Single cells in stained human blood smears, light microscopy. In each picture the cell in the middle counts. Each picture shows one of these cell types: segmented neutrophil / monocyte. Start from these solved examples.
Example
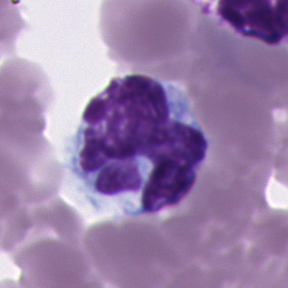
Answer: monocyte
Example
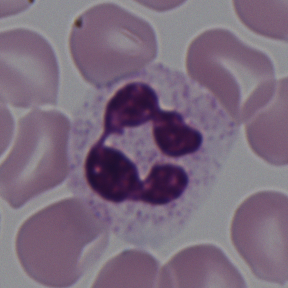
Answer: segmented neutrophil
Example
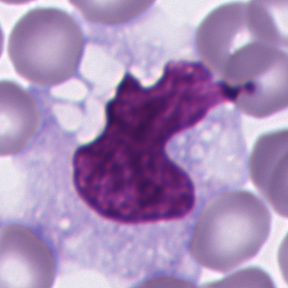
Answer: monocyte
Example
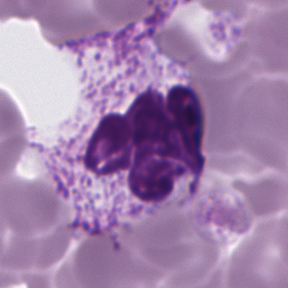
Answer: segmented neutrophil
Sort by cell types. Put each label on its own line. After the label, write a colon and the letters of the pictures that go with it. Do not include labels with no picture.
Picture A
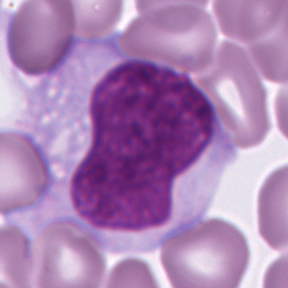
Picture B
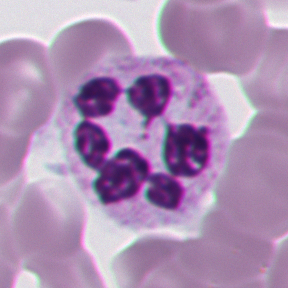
segmented neutrophil: B
monocyte: A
